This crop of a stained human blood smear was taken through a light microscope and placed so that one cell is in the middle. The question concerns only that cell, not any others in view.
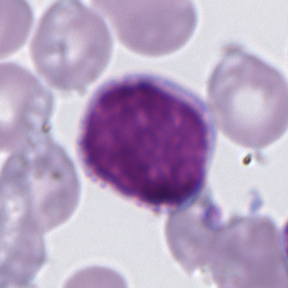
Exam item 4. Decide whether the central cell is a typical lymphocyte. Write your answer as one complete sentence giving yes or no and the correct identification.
No, the central cell in this crop is a large granular lymphocyte and not a typical lymphocyte.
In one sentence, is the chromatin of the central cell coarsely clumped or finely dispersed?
Its chromatin is finely dispersed rather than coarsely clumped.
